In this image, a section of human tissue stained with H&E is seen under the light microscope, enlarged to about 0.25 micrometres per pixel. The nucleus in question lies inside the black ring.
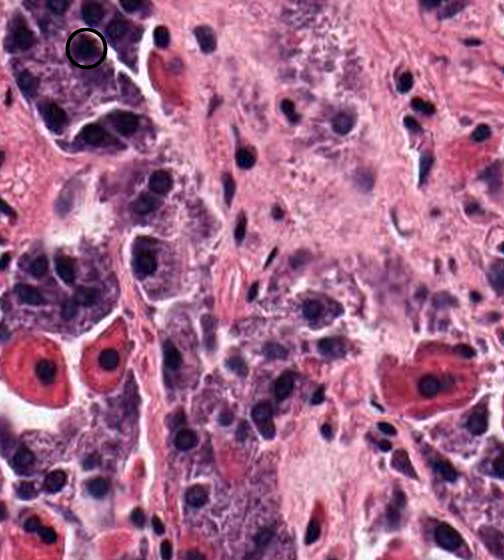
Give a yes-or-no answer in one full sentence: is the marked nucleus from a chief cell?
Yes, the marked nucleus is that of a chief cell.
